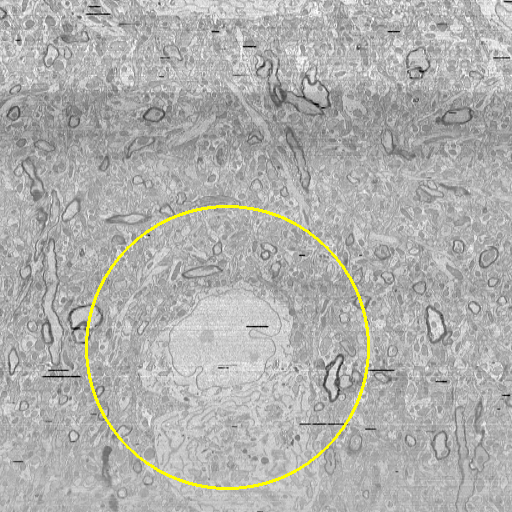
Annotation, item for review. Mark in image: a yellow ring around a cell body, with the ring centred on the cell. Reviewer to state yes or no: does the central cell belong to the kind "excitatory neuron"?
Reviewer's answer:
yes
